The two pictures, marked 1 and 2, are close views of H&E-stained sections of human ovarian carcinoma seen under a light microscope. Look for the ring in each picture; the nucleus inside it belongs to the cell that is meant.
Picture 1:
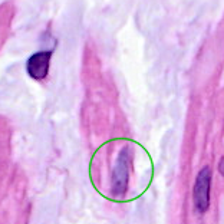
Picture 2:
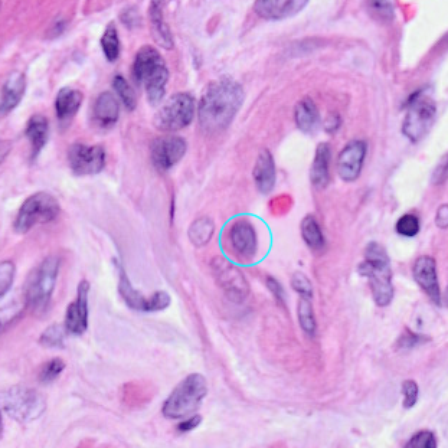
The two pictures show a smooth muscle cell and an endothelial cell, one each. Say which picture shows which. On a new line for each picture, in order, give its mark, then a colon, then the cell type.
1: smooth muscle cell
2: endothelial cell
